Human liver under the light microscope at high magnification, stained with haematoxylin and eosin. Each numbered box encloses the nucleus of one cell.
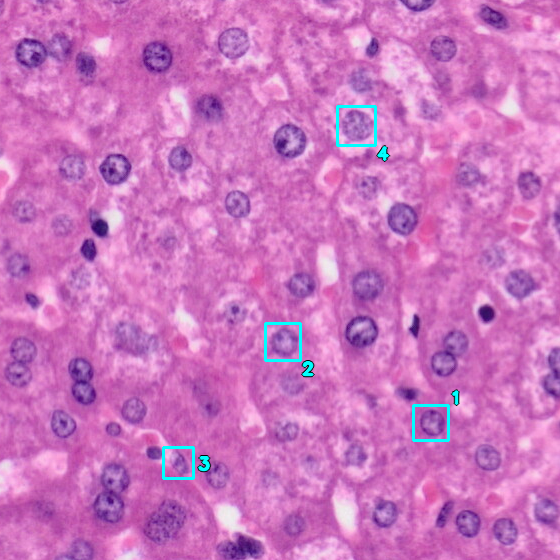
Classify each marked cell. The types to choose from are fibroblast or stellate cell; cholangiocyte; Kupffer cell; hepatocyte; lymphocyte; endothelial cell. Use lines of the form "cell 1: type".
cell 1: hepatocyte
cell 2: hepatocyte
cell 3: endothelial cell
cell 4: hepatocyte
